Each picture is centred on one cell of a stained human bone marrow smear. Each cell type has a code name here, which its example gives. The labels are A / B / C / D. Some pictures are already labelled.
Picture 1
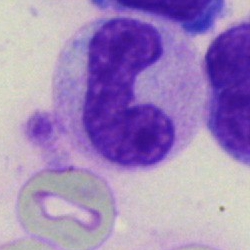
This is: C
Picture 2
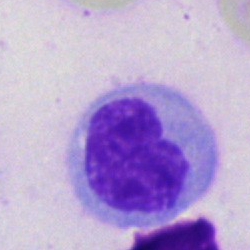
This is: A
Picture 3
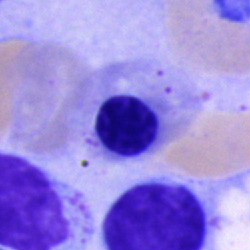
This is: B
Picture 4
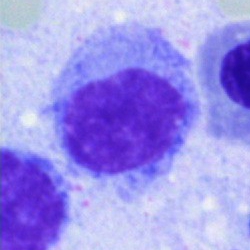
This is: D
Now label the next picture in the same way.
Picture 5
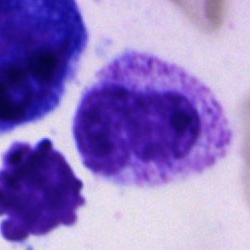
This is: C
